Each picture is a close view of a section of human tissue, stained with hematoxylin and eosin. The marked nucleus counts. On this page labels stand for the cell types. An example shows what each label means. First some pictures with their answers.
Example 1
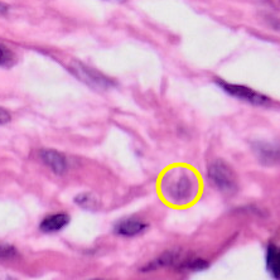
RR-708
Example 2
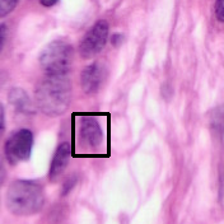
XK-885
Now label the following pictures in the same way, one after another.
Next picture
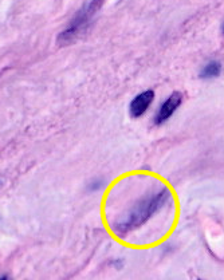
RR-708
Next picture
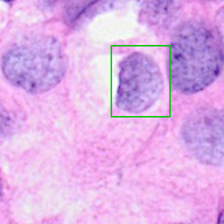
XK-885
